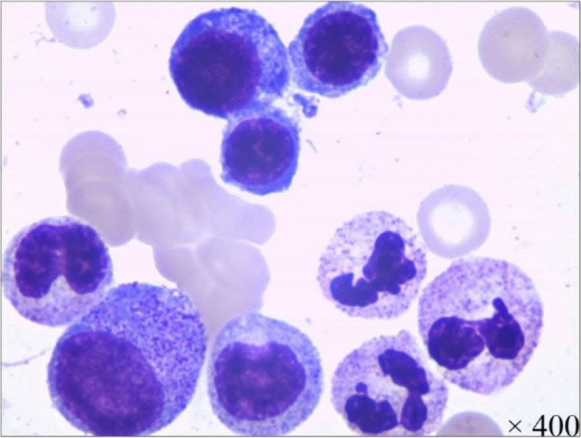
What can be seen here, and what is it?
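Bone marrow aspirate smear with a mixture of granulocytic cells at different stages of maturation. Several round cells have round to indented nuclei with clumped purple chromatin and bluish cytoplasm holding fine purple granules. Neutrophils with segmented or band-shaped dark nuclei and pale, finely granular cytoplasm lie at the right. Pale red cells lie between them, some stacked together in a clump.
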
